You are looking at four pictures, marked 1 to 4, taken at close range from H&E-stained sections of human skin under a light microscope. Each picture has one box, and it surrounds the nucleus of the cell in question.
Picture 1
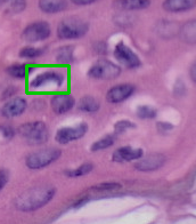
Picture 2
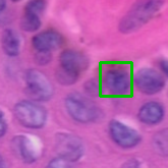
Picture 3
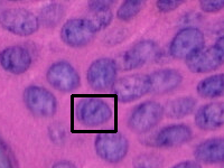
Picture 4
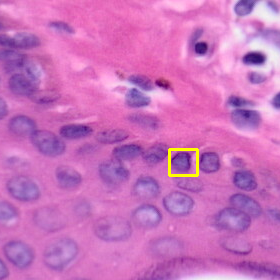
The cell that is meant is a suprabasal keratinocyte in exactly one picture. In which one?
3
